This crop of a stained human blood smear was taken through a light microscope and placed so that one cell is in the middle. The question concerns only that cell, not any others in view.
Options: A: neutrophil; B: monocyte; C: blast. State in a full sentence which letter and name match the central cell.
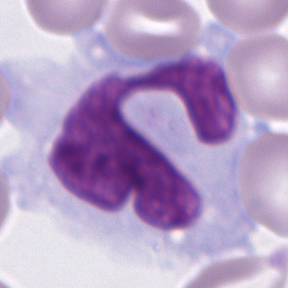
Option B is the correct one; it names the central cell as a monocyte.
